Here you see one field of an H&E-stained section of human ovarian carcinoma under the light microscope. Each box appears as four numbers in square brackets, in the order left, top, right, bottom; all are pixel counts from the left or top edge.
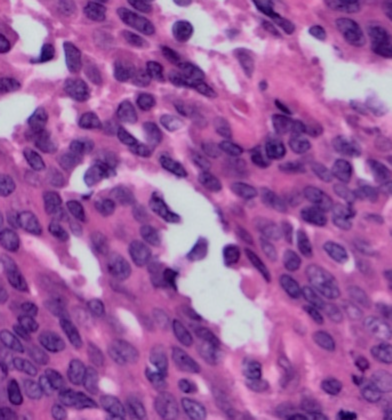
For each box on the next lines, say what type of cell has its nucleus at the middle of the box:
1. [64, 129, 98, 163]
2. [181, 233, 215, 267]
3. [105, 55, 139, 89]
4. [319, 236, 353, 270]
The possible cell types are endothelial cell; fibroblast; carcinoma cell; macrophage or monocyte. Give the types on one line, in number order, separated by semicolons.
carcinoma cell; carcinoma cell; carcinoma cell; macrophage or monocyte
